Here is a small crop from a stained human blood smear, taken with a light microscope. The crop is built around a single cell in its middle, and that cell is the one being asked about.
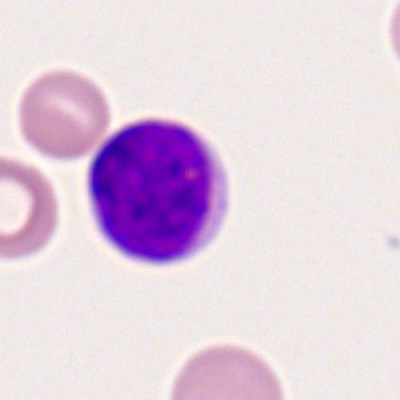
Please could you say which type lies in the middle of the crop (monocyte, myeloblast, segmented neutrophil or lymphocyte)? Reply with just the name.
lymphocyte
